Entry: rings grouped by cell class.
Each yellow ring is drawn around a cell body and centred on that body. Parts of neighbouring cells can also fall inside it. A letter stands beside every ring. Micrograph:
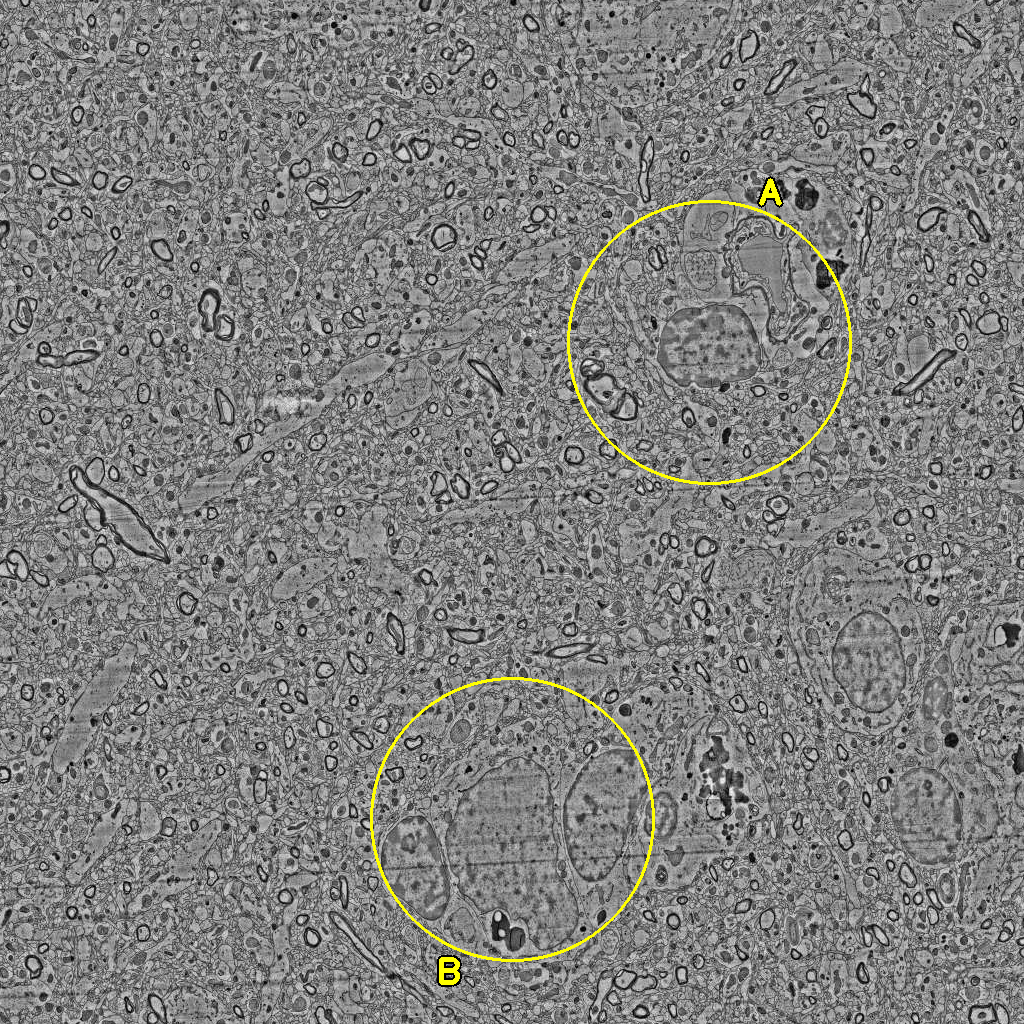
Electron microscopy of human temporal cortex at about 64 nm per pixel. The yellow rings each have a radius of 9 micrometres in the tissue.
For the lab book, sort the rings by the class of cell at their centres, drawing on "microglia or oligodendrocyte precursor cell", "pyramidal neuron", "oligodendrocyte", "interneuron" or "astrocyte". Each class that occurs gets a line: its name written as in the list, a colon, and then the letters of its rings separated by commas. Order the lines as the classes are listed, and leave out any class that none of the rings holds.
microglia or oligodendrocyte precursor cell: A
interneuron: B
